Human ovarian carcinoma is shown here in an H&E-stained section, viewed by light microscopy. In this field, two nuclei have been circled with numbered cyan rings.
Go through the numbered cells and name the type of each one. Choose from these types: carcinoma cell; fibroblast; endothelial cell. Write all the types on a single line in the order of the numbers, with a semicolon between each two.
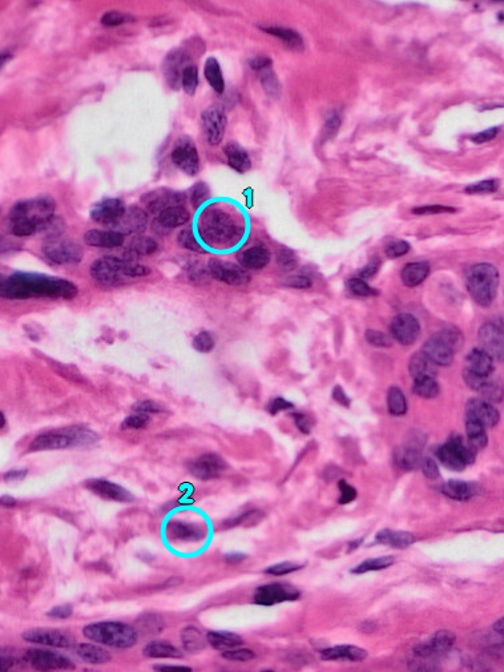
carcinoma cell; fibroblast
